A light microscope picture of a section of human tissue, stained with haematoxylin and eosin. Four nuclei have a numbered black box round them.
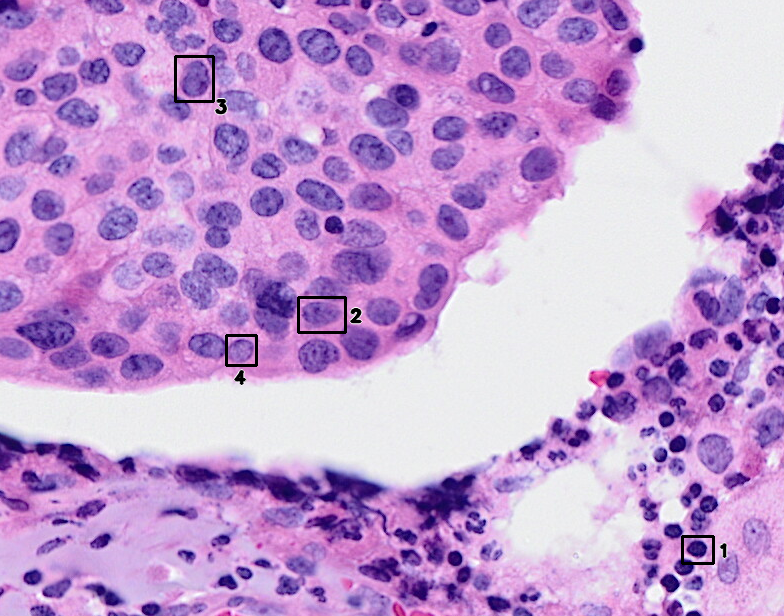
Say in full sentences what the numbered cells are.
Cell 1 is a lymphocyte. Cells 2, 3 and 4 are carcinoma cells.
